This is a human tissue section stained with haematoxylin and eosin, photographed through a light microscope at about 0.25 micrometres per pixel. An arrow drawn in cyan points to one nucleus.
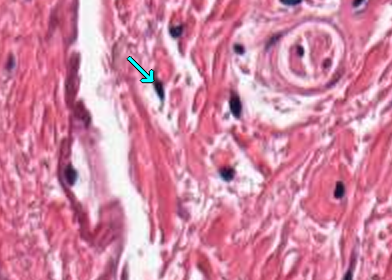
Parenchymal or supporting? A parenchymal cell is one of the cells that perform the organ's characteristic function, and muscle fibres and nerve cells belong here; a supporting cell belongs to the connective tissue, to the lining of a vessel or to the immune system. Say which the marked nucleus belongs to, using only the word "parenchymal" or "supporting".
supporting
